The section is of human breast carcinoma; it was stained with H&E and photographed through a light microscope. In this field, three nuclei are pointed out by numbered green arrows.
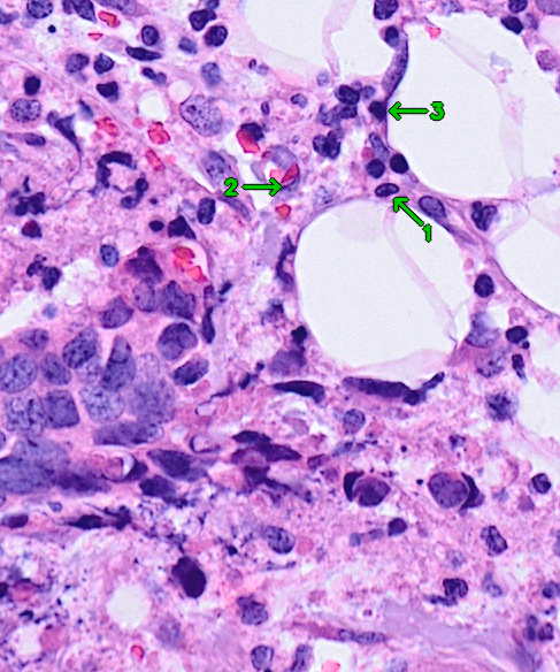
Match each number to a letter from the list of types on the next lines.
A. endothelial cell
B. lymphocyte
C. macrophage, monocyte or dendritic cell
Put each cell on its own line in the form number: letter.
1: B
2: A
3: B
